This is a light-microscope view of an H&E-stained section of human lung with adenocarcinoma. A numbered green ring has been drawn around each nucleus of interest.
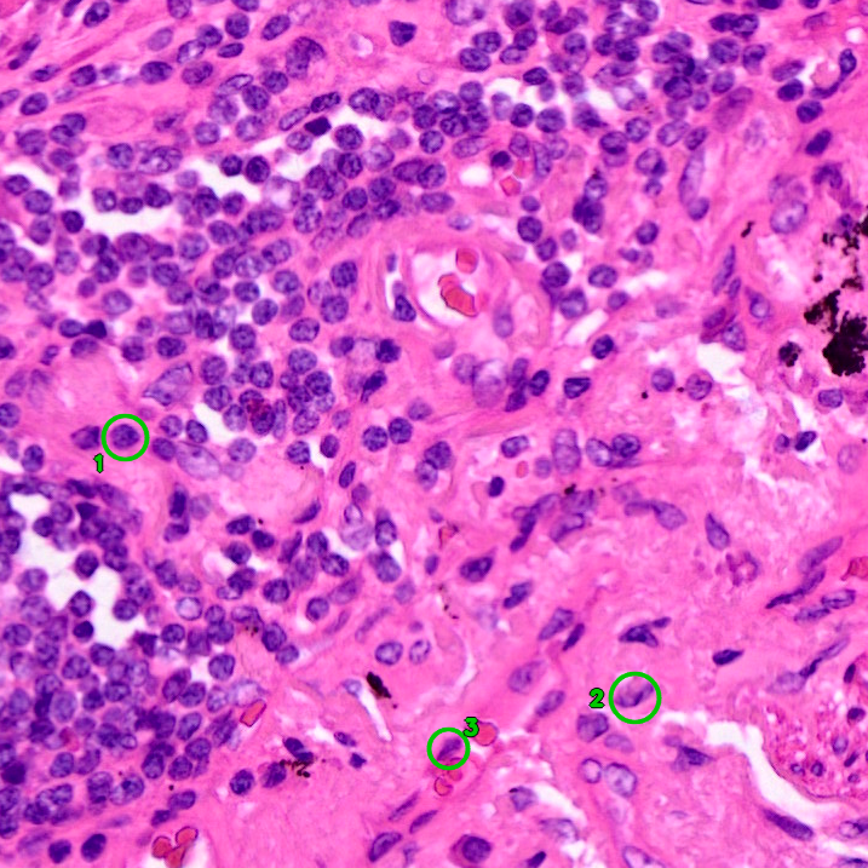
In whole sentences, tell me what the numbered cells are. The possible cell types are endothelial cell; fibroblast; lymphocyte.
Cell 1 is a lymphocyte, cell 2 is a fibroblast and cell 3 is an endothelial cell.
